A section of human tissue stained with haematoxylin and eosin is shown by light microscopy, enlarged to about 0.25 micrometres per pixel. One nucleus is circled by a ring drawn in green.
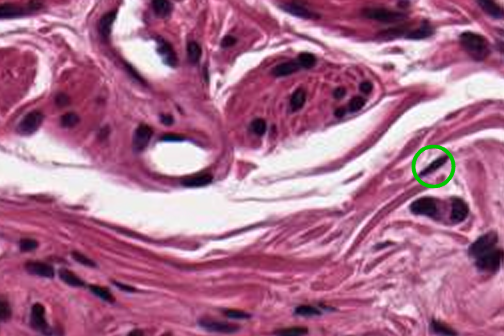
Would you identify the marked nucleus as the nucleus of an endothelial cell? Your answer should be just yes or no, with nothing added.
no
